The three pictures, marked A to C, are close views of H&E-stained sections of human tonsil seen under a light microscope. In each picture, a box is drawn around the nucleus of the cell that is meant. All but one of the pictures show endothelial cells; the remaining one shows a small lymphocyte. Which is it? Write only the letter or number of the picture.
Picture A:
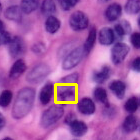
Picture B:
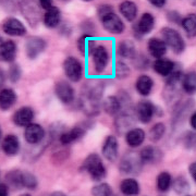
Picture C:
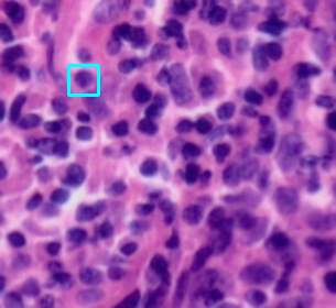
B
